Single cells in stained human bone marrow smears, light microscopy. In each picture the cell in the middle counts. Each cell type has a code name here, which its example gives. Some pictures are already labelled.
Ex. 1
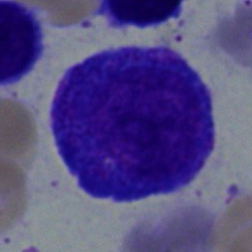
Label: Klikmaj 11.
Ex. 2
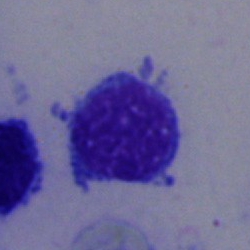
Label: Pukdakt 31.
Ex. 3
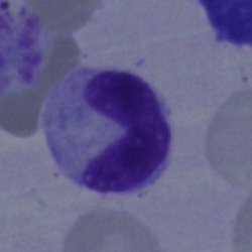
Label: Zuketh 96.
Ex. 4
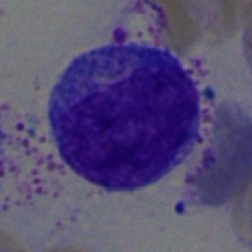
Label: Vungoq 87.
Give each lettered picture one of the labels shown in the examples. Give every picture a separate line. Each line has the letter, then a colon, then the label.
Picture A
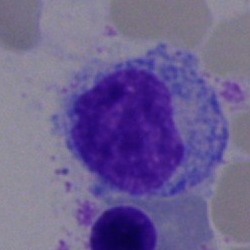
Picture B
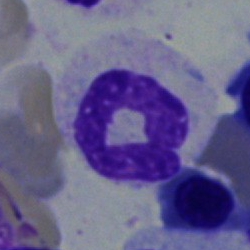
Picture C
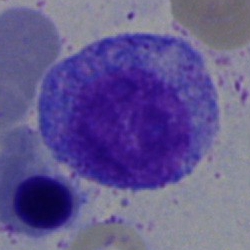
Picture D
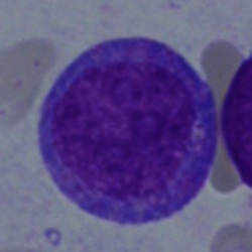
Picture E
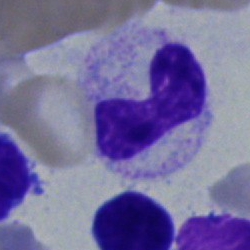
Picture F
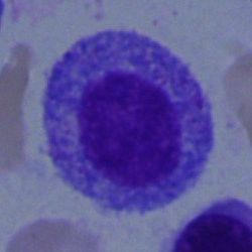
A: Vungoq 87.
B: Zuketh 96.
C: Klikmaj 11.
D: Klikmaj 11.
E: Zuketh 96.
F: Klikmaj 11.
